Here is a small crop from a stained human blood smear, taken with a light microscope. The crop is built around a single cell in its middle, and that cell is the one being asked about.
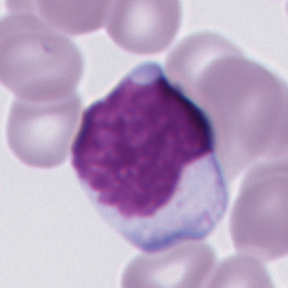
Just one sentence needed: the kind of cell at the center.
The middle of this crop is occupied by a large granular lymphocyte.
